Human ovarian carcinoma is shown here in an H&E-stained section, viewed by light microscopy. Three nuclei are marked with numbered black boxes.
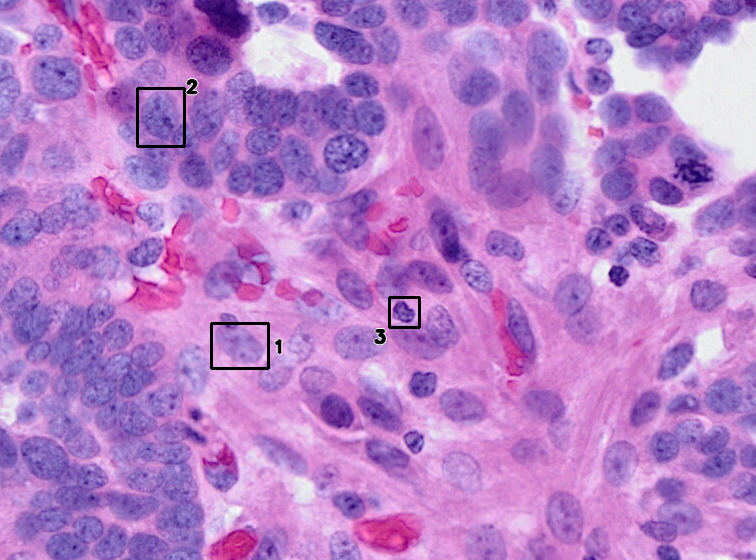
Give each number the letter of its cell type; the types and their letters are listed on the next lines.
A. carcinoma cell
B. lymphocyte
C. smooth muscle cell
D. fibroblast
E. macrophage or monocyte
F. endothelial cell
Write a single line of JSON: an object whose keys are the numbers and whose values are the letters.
{"1": "D", "2": "A", "3": "B"}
